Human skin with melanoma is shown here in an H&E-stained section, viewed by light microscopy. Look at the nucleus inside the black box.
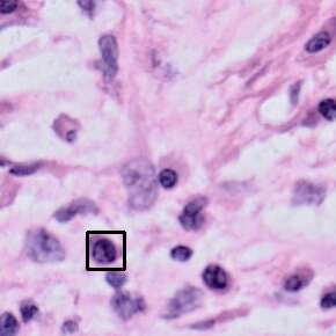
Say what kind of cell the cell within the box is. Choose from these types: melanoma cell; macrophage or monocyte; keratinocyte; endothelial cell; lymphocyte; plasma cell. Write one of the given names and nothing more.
plasma cell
